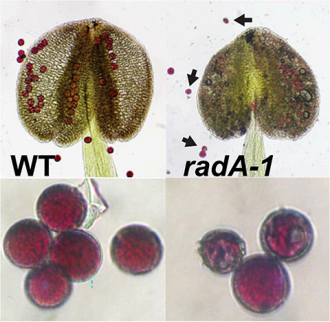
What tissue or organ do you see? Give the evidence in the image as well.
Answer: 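Two heart-shaped, two-lobed organs with a short stalk at the base. The organs hold many round, red-stained grains.
Hence: anthers.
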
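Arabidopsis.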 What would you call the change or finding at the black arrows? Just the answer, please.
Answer: Small and aberrant pollen grains.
